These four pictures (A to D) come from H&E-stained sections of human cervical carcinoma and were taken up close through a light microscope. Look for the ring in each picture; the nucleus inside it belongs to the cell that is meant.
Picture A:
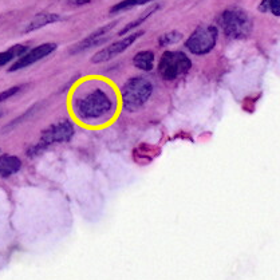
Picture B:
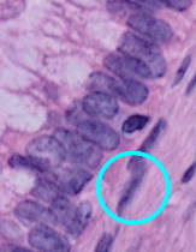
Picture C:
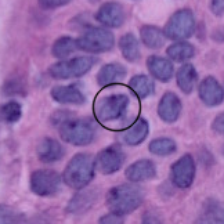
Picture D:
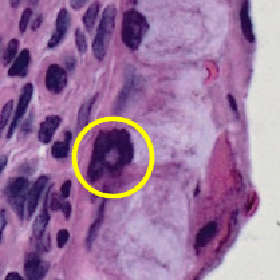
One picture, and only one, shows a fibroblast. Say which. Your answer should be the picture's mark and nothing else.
B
